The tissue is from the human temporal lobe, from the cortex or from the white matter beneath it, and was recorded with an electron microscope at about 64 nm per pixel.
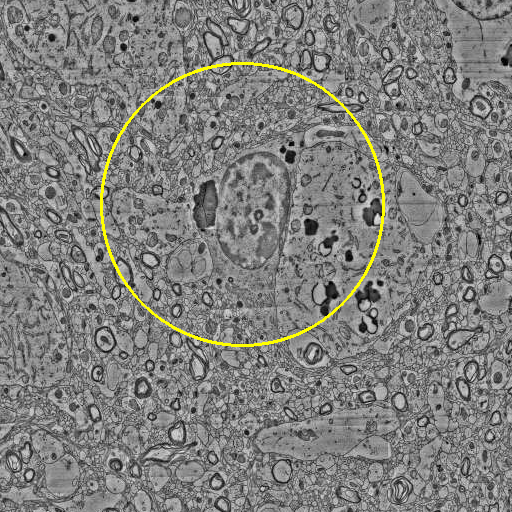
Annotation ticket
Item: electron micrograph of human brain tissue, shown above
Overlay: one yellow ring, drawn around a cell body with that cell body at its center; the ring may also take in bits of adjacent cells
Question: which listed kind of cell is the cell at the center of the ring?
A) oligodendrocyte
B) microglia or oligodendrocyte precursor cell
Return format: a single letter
A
